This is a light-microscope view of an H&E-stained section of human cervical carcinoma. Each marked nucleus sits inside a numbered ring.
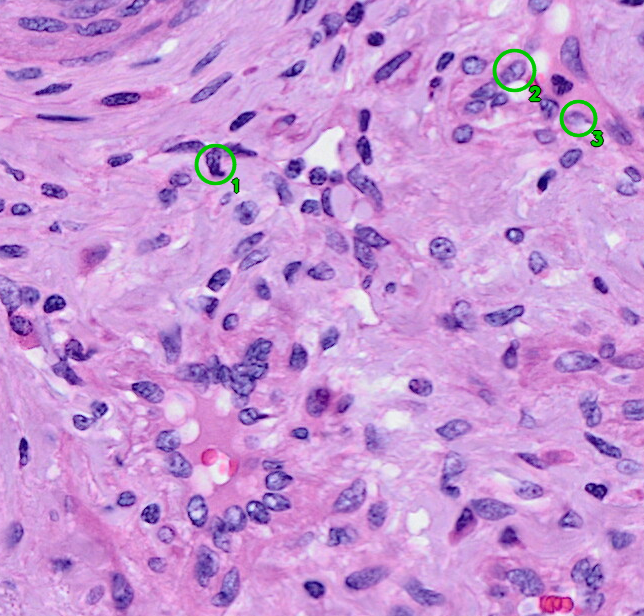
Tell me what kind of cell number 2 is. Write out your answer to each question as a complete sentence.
In this section, the cell numbered 2 is an endothelial cell.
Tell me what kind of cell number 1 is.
In the marked set, the cell given number 1 is a lymphocyte.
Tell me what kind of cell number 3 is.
The cell carrying label 3 is identified as an endothelial cell.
